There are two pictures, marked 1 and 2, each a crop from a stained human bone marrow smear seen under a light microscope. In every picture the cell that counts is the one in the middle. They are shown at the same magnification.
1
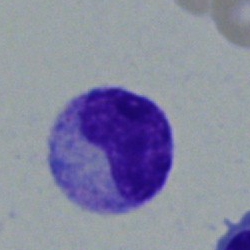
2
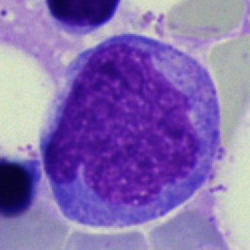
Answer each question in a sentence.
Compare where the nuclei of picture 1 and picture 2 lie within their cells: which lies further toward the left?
In picture 2 the nucleus is shifted more toward the left.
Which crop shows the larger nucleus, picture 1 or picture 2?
Picture 2 shows the larger nucleus; it covers about 2 times the area of the nucleus in picture 1.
